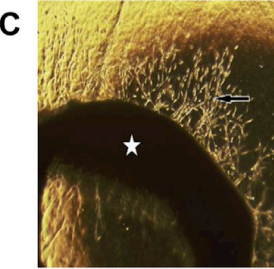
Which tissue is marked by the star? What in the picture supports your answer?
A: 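The star sits on a thick, dark, curved band of tissue. Fine outgrowths radiate from the edge of the dark band. So: Aortic rings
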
